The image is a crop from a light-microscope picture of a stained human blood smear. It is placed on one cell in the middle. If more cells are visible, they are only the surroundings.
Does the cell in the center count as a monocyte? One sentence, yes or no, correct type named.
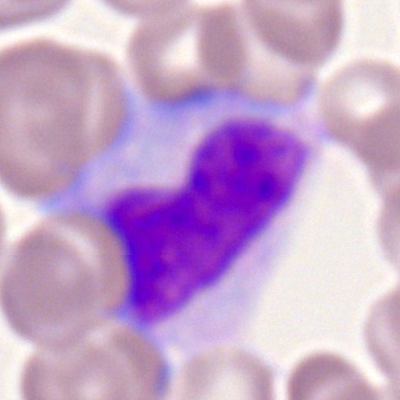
Yes, the centrally placed cell is a monocyte.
